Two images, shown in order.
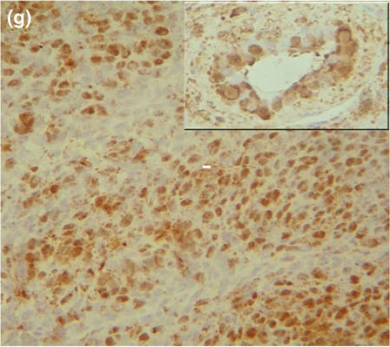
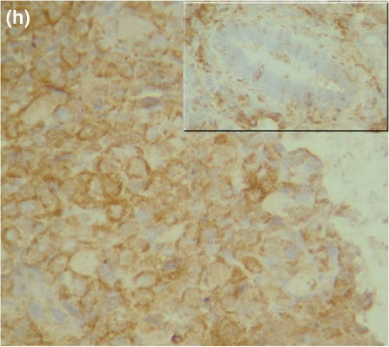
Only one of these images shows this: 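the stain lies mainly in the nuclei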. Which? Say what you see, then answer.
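The first image. Second image: brown stain fills the cytoplasm and outlines the cells, nuclei stay pale. First image: brown stain is concentrated in round nuclei, cytoplasm is pale.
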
